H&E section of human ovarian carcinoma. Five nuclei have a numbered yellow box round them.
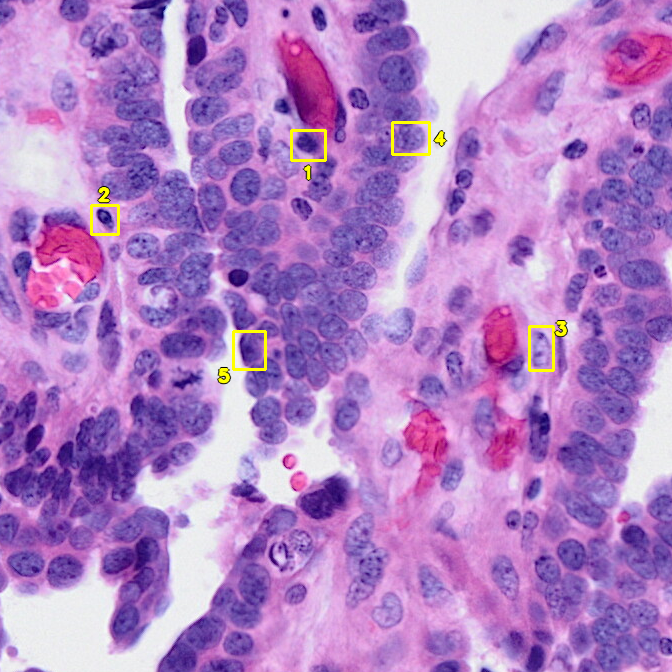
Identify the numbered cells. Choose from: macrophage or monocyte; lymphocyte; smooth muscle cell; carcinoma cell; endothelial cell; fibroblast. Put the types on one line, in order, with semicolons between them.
lymphocyte; lymphocyte; fibroblast; carcinoma cell; carcinoma cell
